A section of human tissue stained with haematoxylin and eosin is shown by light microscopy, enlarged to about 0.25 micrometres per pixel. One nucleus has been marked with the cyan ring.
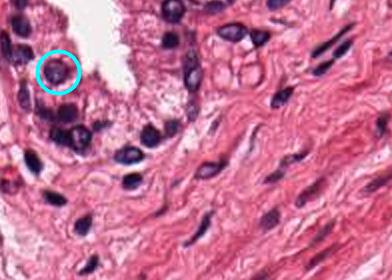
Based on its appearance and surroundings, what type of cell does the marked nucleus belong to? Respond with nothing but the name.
prostate gland luminal cell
